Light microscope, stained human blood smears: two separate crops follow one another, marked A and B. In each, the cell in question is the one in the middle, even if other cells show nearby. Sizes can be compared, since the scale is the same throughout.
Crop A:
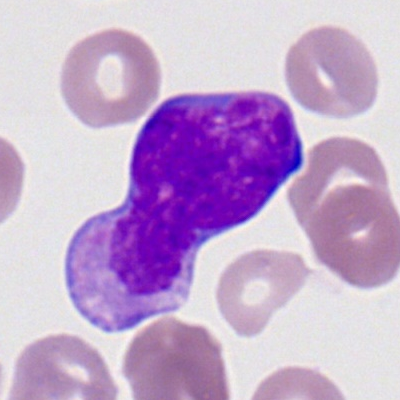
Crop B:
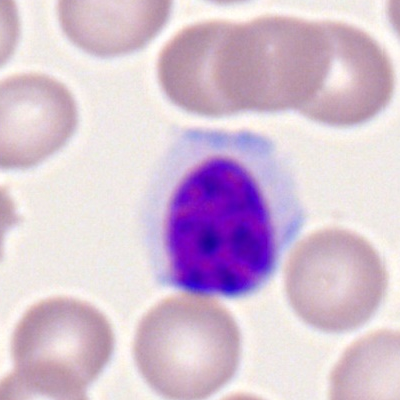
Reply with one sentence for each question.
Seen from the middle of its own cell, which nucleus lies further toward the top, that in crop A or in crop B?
Seen within its cell, the nucleus in crop A lies further toward the top.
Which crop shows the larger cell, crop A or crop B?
Larger is the cell in crop A, at roughly 1.5 times the area of the other.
